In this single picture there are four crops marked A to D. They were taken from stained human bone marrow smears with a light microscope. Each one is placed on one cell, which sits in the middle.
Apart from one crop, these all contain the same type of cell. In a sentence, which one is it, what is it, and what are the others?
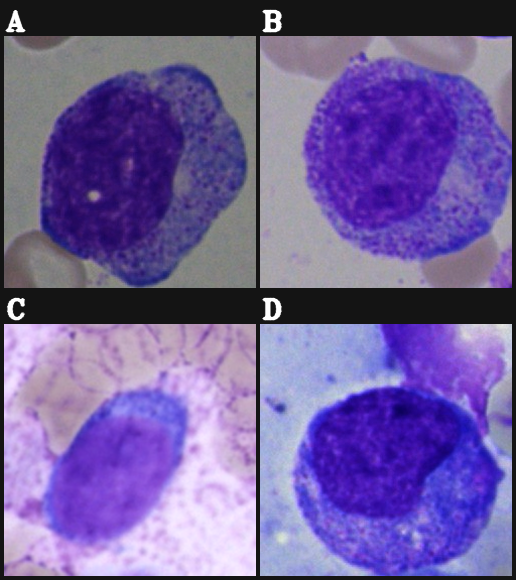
In this set, all crops show promyelocytes apart from crop C, which is a blast.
